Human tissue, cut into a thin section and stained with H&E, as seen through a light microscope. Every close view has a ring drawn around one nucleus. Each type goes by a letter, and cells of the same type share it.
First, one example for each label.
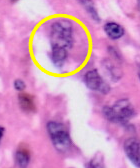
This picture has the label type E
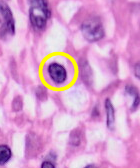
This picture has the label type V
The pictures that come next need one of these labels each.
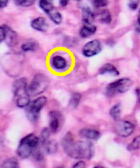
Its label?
type V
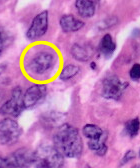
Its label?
type E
